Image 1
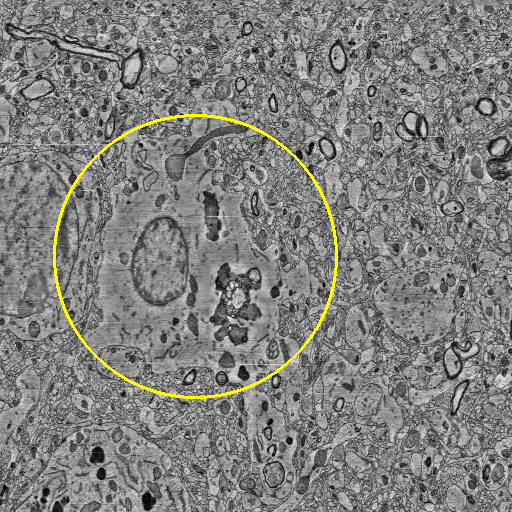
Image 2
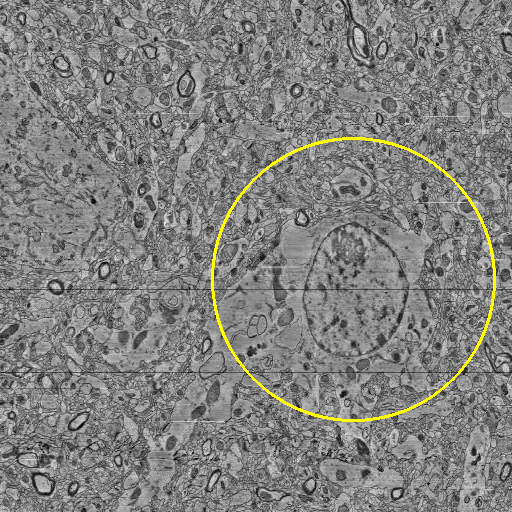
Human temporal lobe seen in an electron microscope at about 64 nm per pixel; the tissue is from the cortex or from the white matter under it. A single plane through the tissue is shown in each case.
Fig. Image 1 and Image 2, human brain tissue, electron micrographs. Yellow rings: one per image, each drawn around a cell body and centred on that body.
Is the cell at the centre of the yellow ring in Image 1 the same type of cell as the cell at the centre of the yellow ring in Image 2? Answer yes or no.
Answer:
yes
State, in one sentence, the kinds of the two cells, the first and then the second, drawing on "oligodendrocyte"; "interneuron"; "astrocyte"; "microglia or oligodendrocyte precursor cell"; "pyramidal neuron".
Each of the two rings is centred on an astrocyte.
